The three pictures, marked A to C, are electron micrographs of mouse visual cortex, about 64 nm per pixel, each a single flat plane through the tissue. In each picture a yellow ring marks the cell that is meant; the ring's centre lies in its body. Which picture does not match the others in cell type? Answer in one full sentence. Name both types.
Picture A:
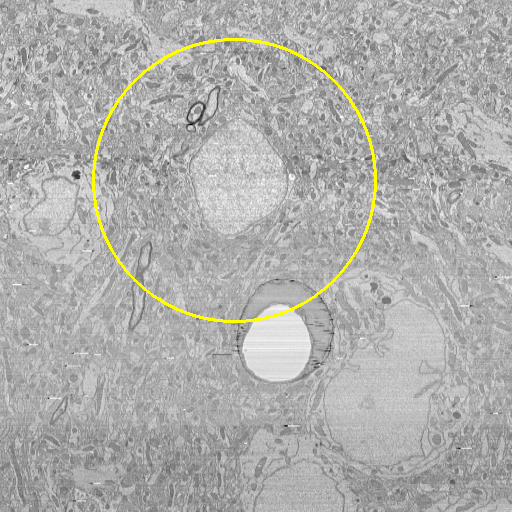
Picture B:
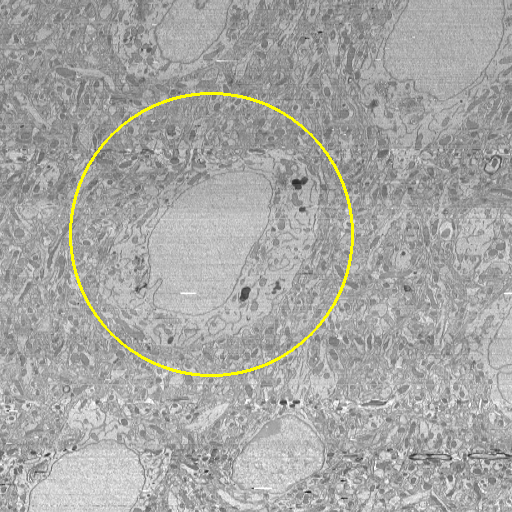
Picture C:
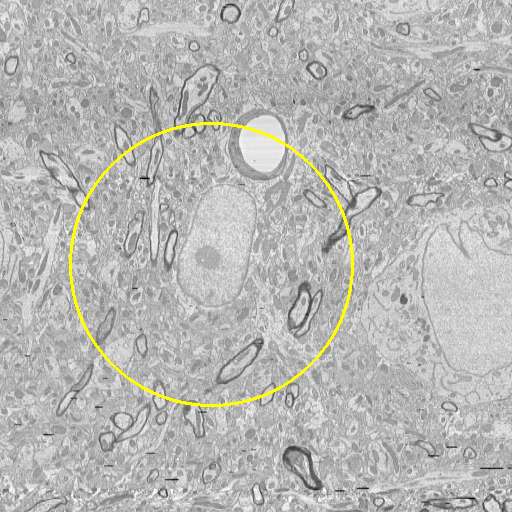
Unlike the rest, which show astrocytes, picture B shows an excitatory neuron.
